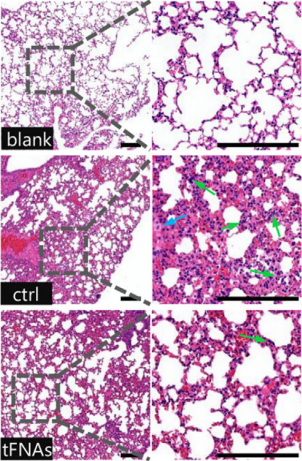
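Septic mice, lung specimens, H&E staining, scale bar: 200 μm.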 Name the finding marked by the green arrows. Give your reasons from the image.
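The green arrows point into alveolar walls crowded with small dark purple nuclei. The walls they point to are thicker than the thin walls of the uppermost enlarged view.
Answer: inflammatory cell infiltration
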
